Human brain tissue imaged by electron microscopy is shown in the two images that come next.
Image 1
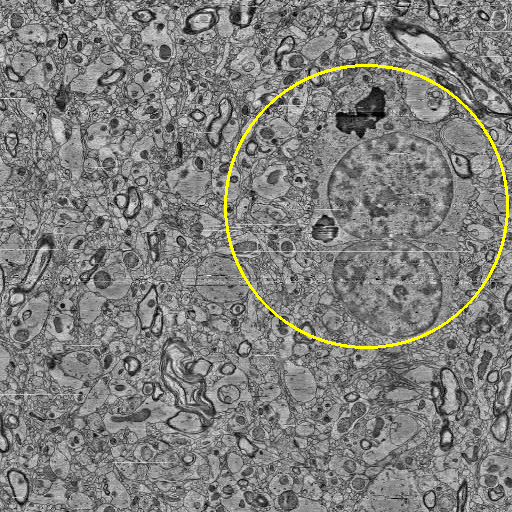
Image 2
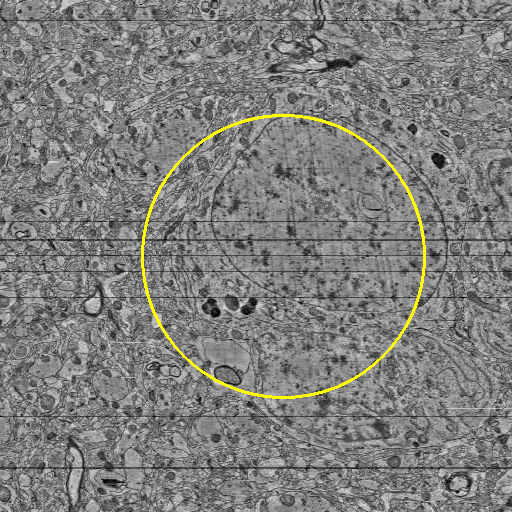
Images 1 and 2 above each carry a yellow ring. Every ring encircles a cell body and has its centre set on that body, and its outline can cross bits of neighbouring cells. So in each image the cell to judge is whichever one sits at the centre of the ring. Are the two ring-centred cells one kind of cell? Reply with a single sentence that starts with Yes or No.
No, in Image 1 and Image 2 the cells at the centres of their rings fall into two types.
